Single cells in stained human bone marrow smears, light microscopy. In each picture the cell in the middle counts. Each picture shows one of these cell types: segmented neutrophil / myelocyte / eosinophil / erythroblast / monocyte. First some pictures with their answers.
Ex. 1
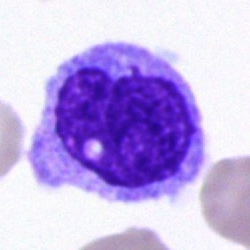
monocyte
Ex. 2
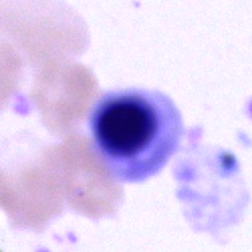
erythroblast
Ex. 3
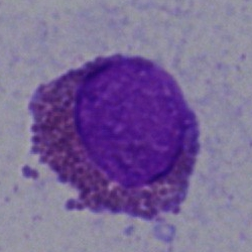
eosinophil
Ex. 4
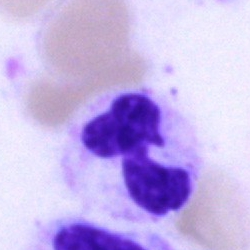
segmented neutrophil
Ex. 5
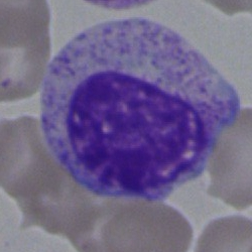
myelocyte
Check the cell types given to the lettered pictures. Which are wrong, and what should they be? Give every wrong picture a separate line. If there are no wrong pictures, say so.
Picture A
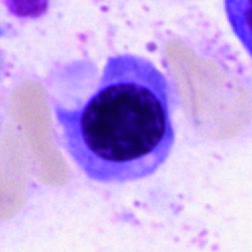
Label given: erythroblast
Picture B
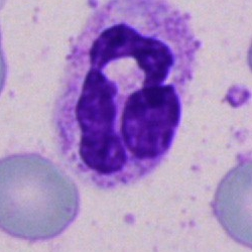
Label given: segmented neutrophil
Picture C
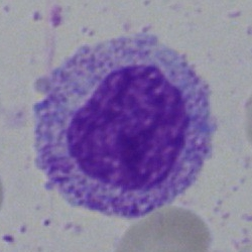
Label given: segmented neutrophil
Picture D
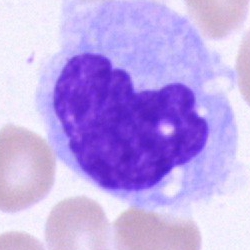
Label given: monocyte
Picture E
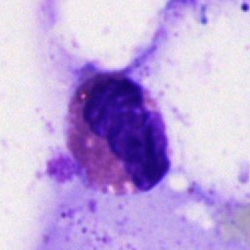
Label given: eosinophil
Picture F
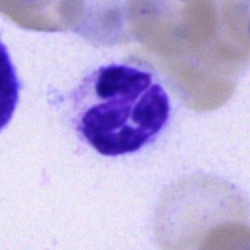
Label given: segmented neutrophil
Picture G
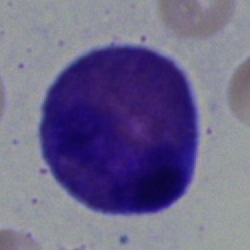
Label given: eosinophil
C: myelocyte, not segmented neutrophil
